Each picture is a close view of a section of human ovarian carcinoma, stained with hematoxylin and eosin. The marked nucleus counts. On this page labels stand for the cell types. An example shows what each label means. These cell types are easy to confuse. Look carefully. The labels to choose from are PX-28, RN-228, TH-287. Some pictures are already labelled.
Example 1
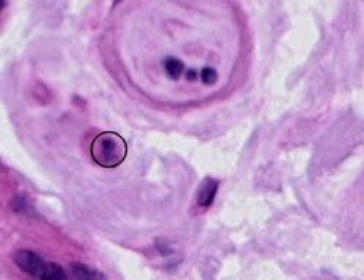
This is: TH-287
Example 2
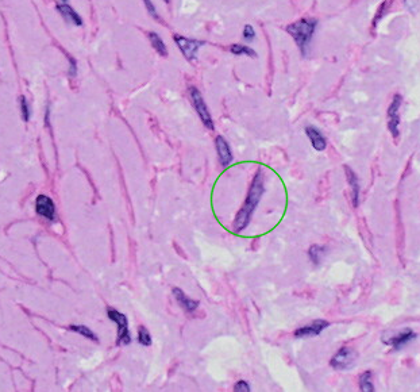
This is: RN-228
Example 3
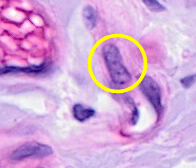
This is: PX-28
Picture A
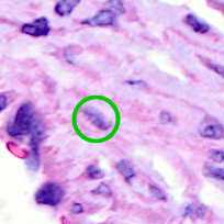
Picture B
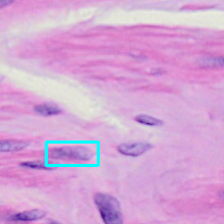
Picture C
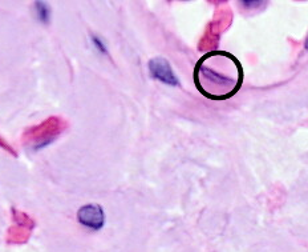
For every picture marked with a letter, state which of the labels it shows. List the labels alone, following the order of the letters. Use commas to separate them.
RN-228, TH-287, PX-28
